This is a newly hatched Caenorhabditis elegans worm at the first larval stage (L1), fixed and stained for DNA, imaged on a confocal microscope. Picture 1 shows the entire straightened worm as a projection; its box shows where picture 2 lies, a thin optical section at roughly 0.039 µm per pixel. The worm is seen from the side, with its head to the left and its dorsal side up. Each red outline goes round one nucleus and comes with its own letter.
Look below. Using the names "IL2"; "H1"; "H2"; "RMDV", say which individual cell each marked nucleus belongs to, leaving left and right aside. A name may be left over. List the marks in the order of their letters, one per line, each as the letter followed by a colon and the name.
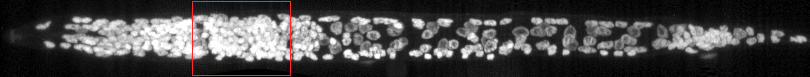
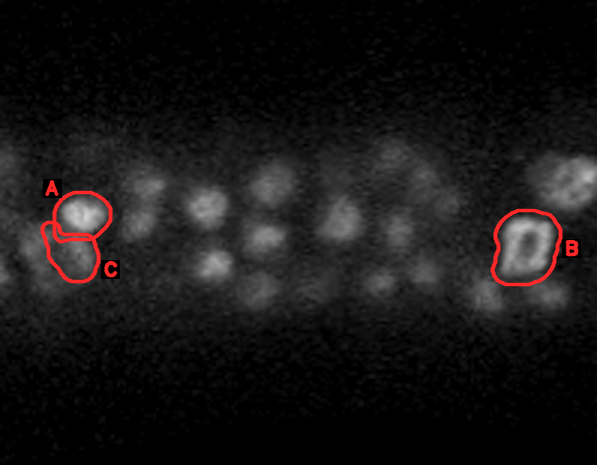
A: RMDV
B: H2
C: H1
